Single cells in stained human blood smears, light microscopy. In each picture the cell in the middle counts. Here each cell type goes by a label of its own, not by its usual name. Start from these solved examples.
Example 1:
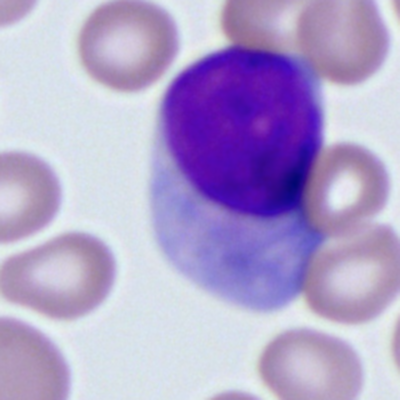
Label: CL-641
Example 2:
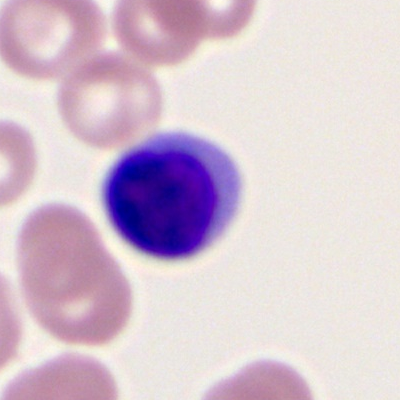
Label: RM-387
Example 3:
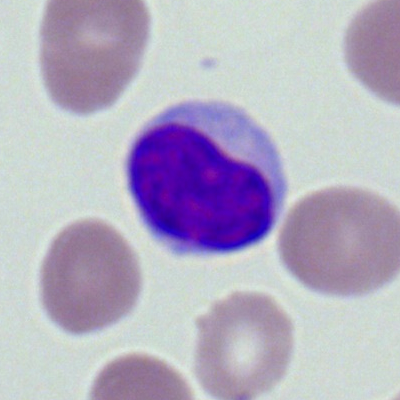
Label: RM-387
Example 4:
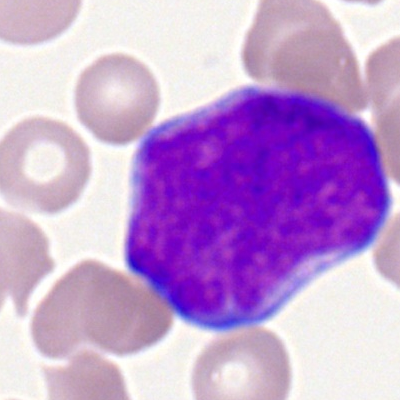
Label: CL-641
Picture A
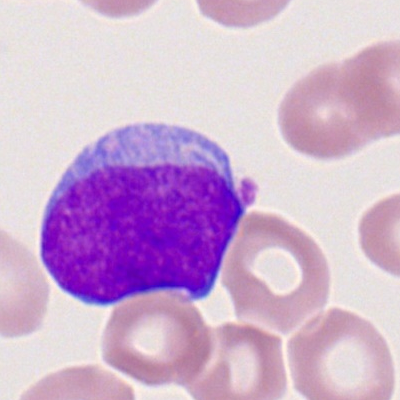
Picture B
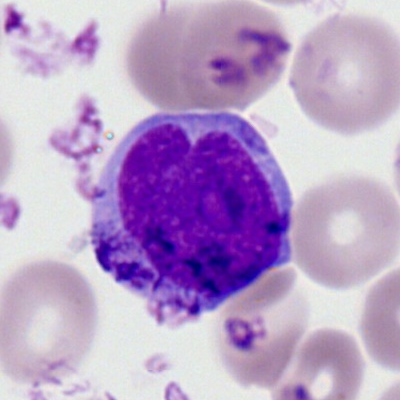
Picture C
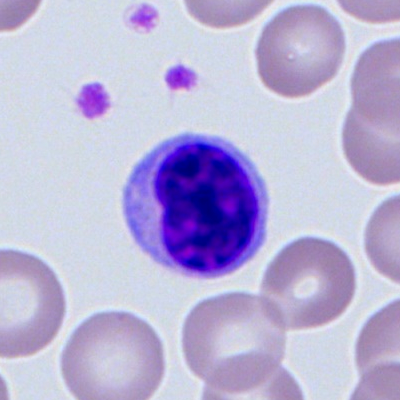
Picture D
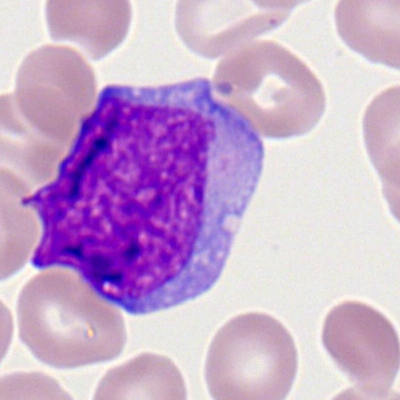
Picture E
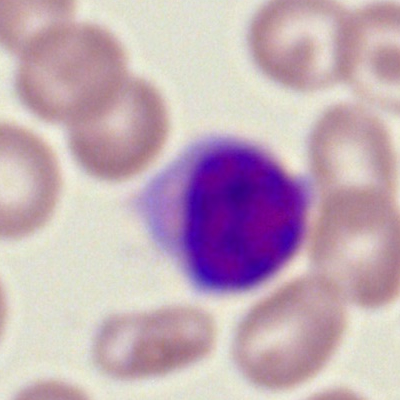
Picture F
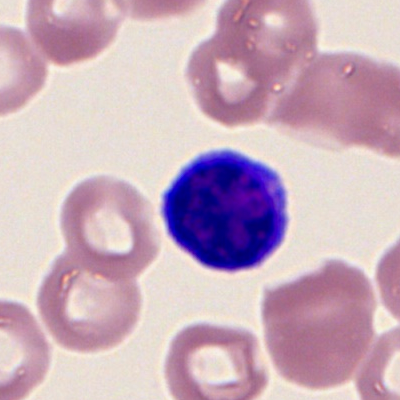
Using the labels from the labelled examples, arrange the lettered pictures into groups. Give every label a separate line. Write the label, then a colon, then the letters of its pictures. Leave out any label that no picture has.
CL-641: A, B, D
RM-387: C, E, F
